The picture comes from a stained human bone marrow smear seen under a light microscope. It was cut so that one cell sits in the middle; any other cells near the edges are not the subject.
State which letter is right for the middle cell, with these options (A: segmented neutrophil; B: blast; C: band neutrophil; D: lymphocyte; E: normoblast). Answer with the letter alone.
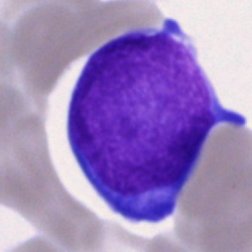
B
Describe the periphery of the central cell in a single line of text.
An uneven margin is present, with either ragged stretches or outward projections.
